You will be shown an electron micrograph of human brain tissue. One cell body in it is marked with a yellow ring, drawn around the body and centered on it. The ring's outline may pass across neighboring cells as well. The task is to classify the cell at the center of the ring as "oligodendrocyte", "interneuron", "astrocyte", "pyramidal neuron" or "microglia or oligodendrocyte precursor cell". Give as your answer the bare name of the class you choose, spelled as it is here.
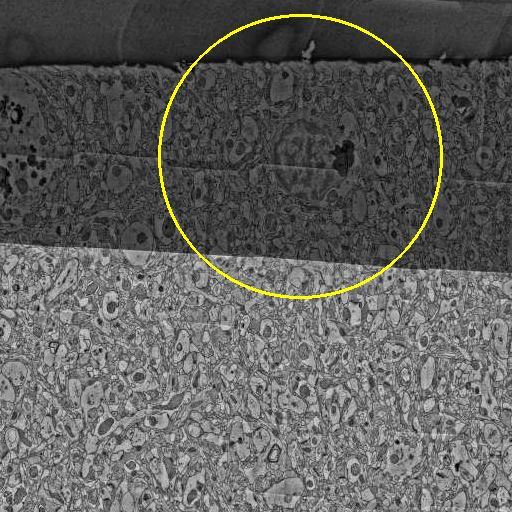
oligodendrocyte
